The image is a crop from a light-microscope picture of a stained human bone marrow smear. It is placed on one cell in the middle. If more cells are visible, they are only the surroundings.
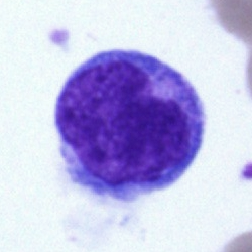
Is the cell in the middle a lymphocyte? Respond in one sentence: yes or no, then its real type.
No, what occupies the middle of the crop is a blast and not a lymphocyte.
